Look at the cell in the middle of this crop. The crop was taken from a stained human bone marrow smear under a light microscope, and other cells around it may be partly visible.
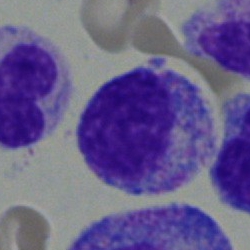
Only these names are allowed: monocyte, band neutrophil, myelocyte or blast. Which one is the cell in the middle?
myelocyte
